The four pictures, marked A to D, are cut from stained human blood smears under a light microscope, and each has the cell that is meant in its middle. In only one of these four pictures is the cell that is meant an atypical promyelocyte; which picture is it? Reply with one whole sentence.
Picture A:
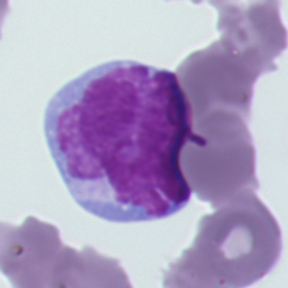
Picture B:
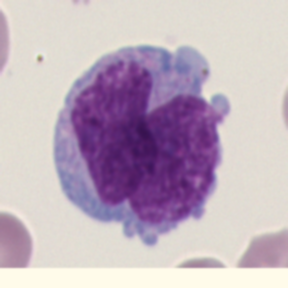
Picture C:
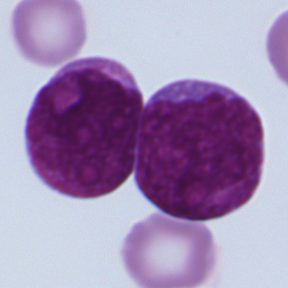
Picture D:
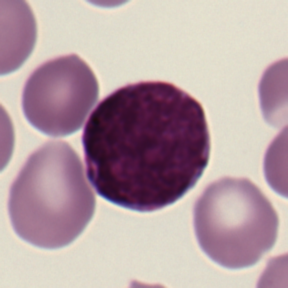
The atypical promyelocyte is the one in picture B.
